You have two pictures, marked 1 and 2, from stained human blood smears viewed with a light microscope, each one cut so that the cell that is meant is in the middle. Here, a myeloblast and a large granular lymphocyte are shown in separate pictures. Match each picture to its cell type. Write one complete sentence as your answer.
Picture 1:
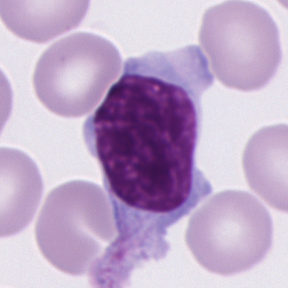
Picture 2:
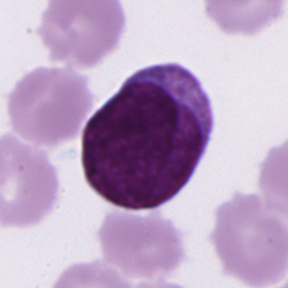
Picture 1 shows a large granular lymphocyte and picture 2 shows a myeloblast.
